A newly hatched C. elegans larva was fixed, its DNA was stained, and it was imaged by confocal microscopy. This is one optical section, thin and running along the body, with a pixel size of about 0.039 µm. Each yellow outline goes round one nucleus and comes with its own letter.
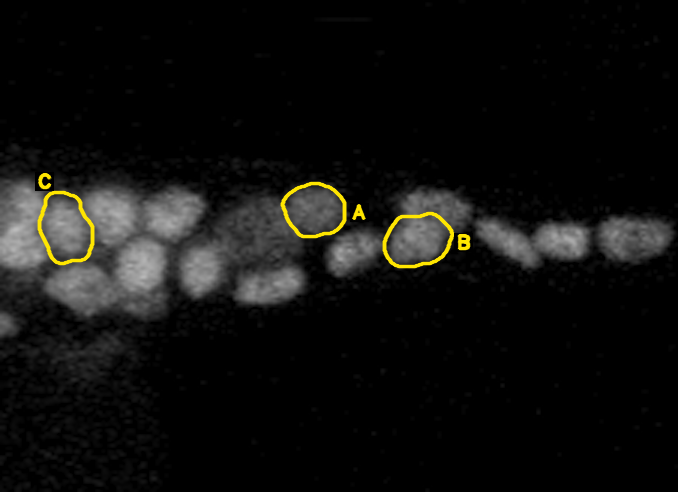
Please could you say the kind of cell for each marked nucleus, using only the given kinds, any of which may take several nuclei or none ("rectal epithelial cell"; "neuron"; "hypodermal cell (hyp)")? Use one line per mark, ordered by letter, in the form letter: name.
A: neuron
B: hypodermal cell (hyp)
C: neuron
